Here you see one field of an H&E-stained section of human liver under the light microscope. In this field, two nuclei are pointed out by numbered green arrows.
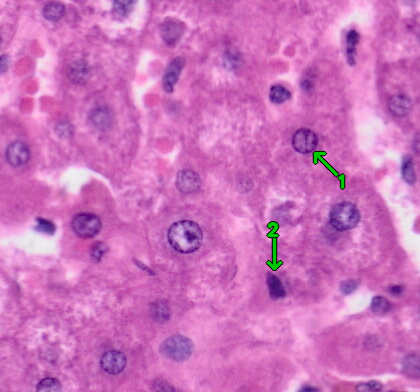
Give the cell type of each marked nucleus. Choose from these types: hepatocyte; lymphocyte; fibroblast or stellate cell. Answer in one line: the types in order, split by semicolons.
hepatocyte; fibroblast or stellate cell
